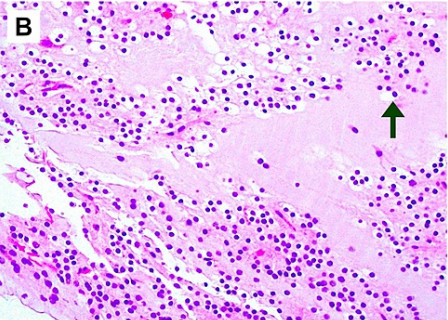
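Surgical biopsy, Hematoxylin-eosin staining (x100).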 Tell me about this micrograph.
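Small round cells with dark purple nuclei and clear perinuclear halos line up in bands and cords along broad pools of pale pink, nearly acellular matrix. This is an extensively myxoid background with oligodendroglioma-like cells arranged along it. The cells are uniform in size and shape, and the nuclei are round and evenly dark. A few thin pink elongated structures cross the field, in keeping with delicate vessels.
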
